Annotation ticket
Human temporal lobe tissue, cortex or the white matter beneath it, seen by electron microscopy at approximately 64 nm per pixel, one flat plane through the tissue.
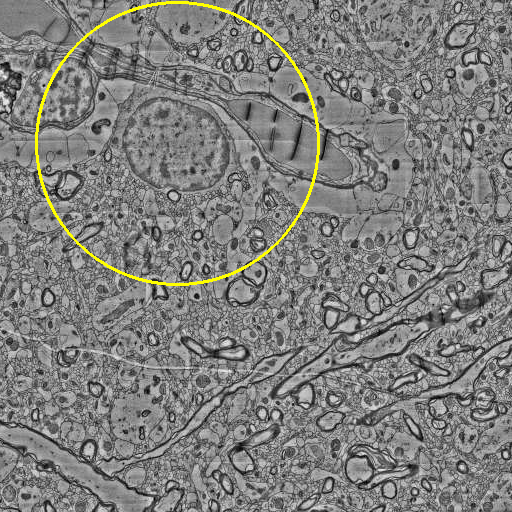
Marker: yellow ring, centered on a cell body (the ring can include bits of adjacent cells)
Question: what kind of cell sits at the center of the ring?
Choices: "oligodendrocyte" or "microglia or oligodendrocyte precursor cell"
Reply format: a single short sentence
The ring is centered on an oligodendrocyte.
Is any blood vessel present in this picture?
Yes.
